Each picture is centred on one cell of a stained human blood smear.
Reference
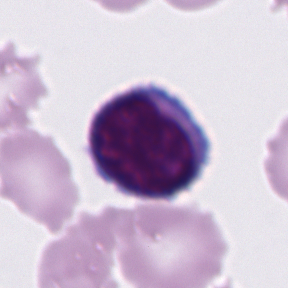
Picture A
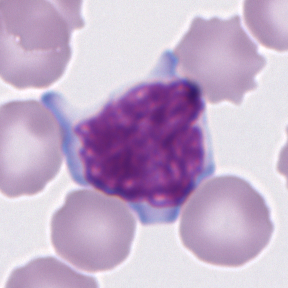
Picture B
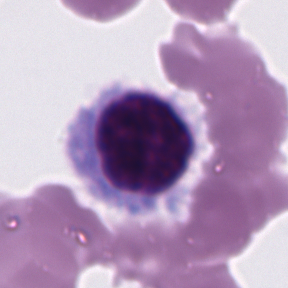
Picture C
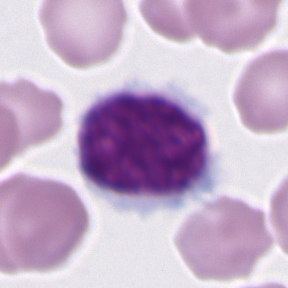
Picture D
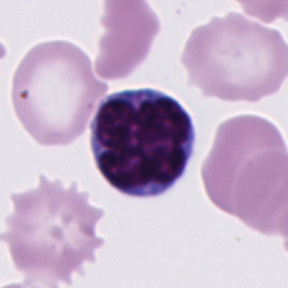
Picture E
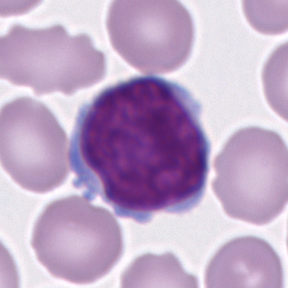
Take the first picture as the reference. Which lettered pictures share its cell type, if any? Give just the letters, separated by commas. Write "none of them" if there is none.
A, D, E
